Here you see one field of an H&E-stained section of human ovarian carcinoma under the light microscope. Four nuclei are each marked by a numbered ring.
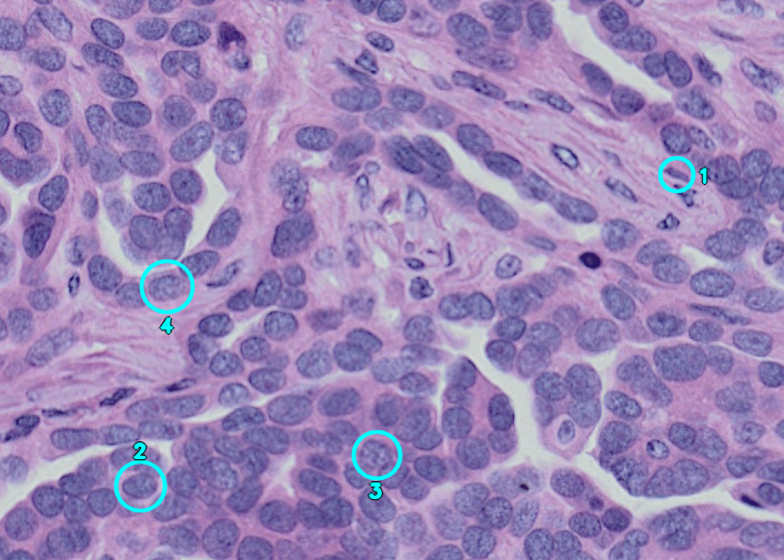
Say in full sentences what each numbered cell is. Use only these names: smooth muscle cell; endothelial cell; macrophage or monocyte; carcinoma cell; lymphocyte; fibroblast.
Cell 1 is a fibroblast, cell 2 is a carcinoma cell, cell 3 is a carcinoma cell and cell 4 is a carcinoma cell.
